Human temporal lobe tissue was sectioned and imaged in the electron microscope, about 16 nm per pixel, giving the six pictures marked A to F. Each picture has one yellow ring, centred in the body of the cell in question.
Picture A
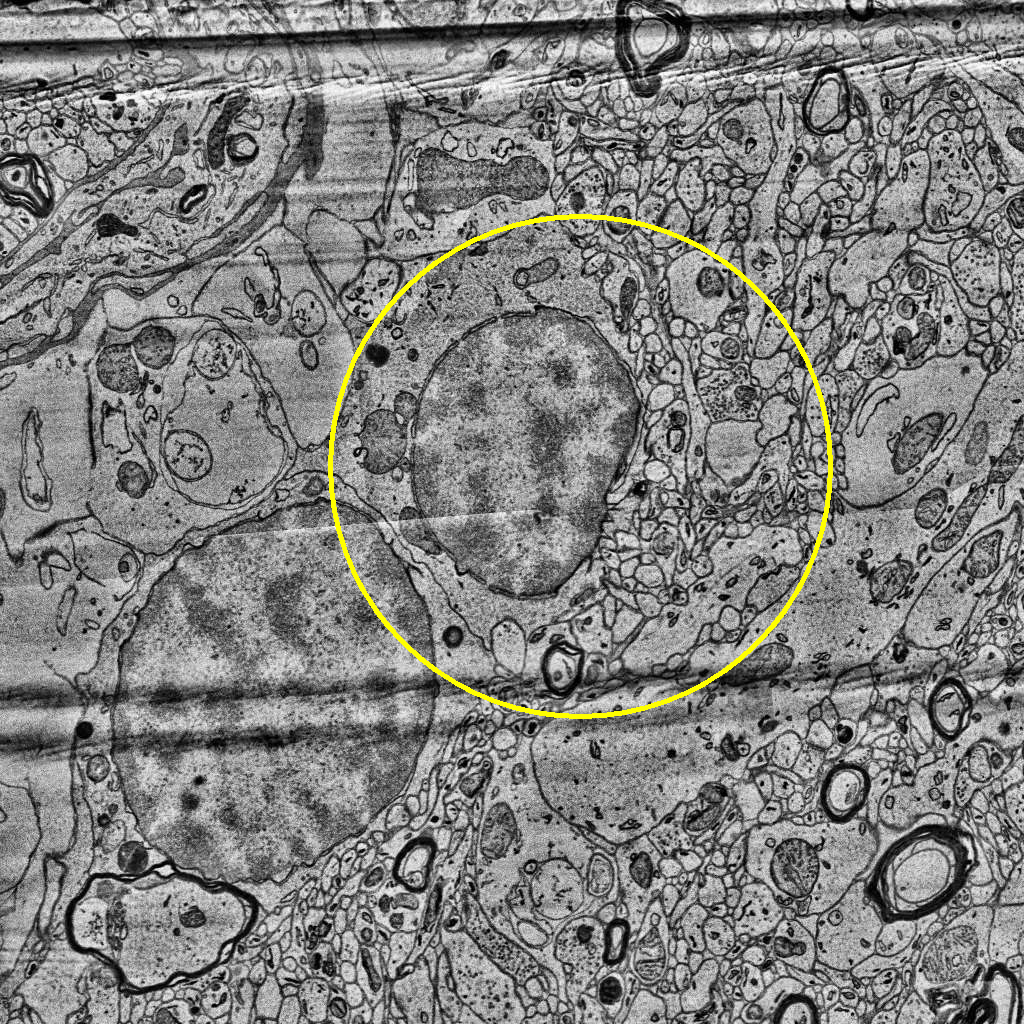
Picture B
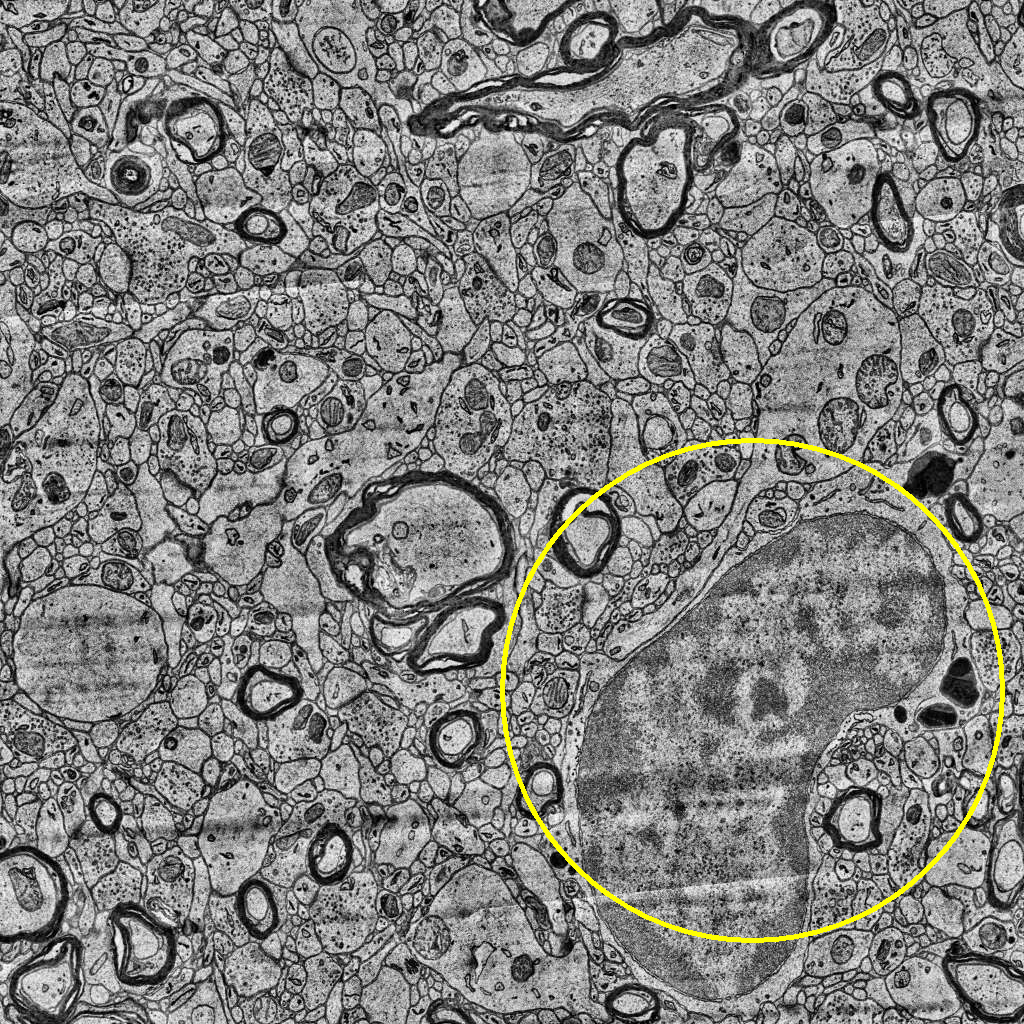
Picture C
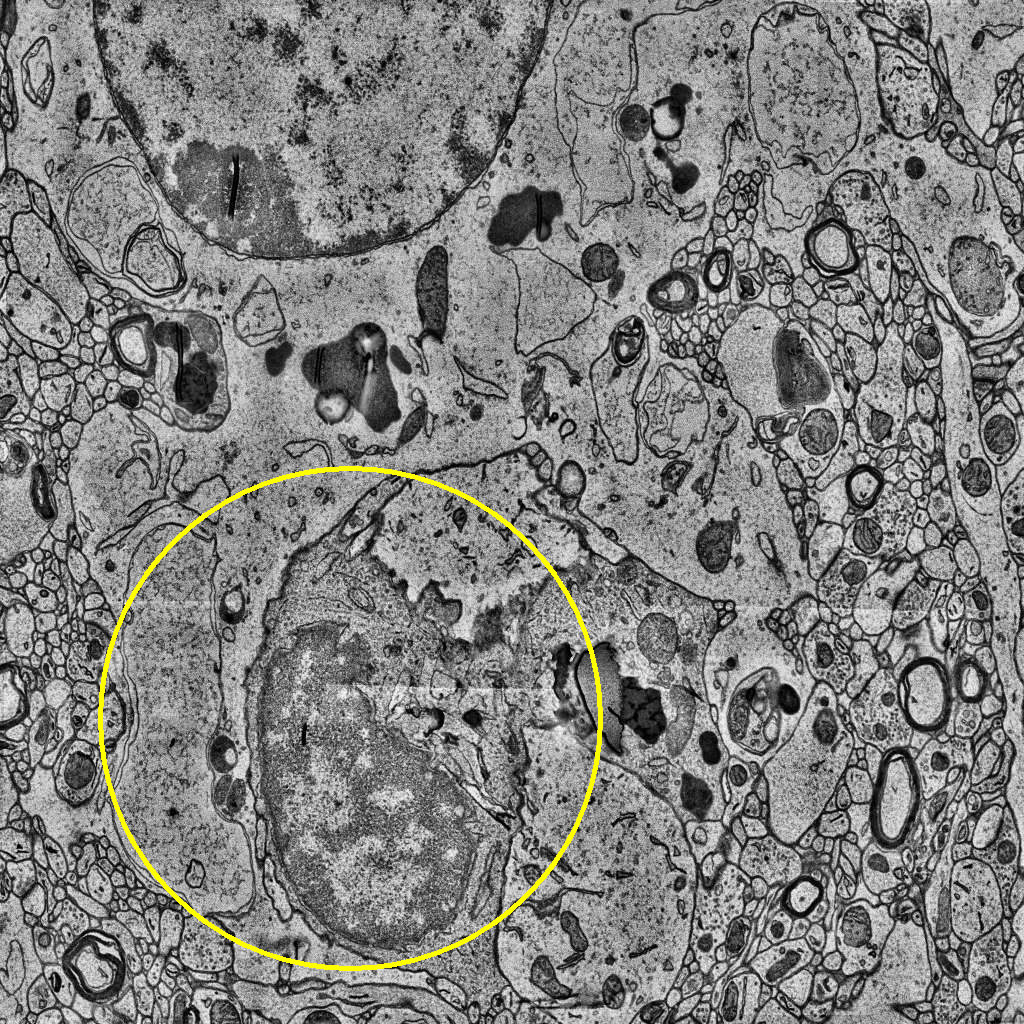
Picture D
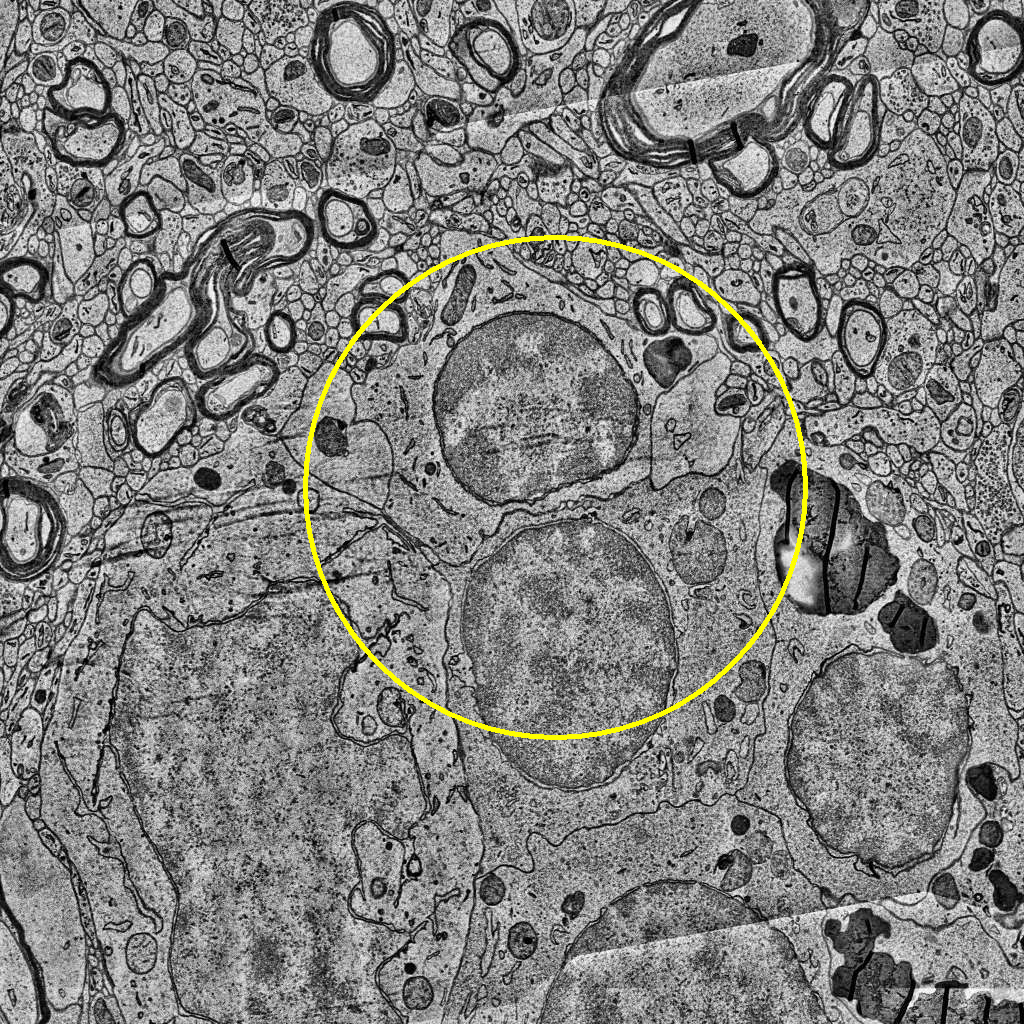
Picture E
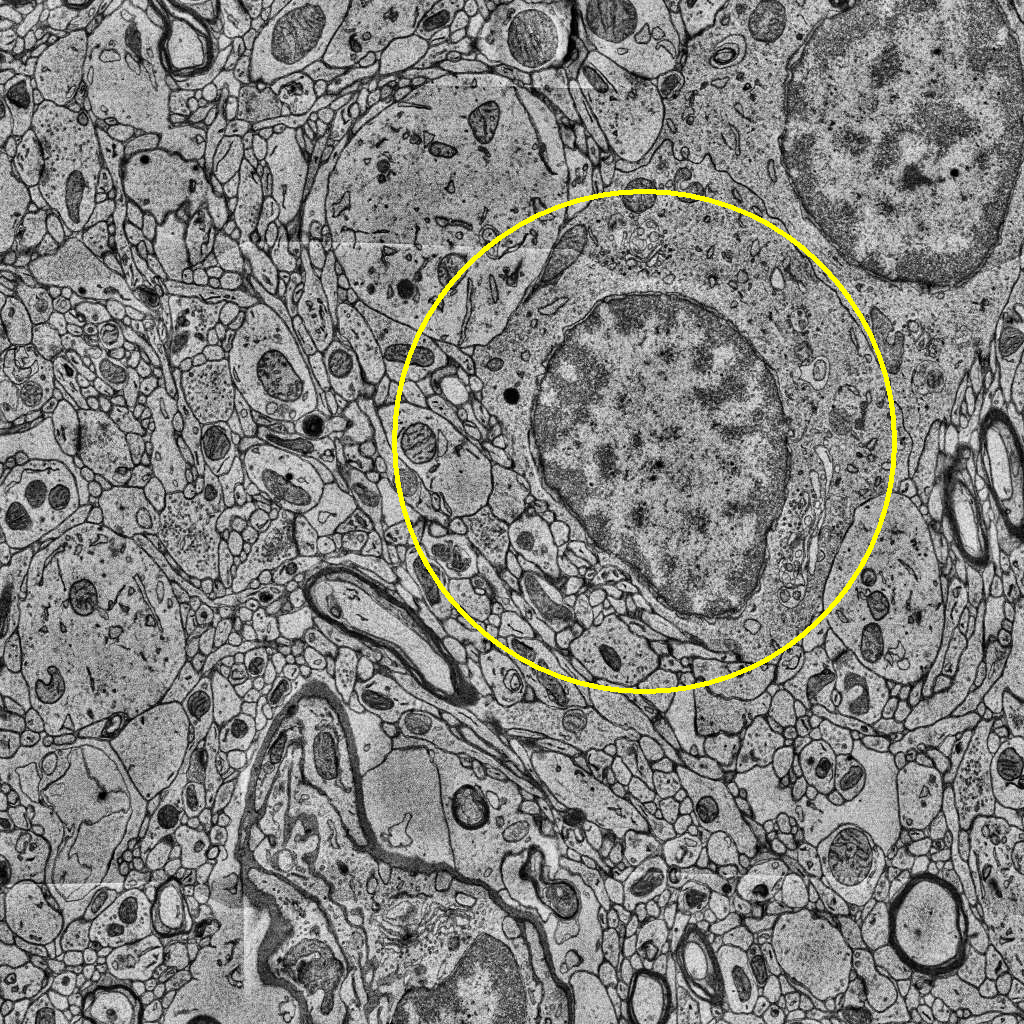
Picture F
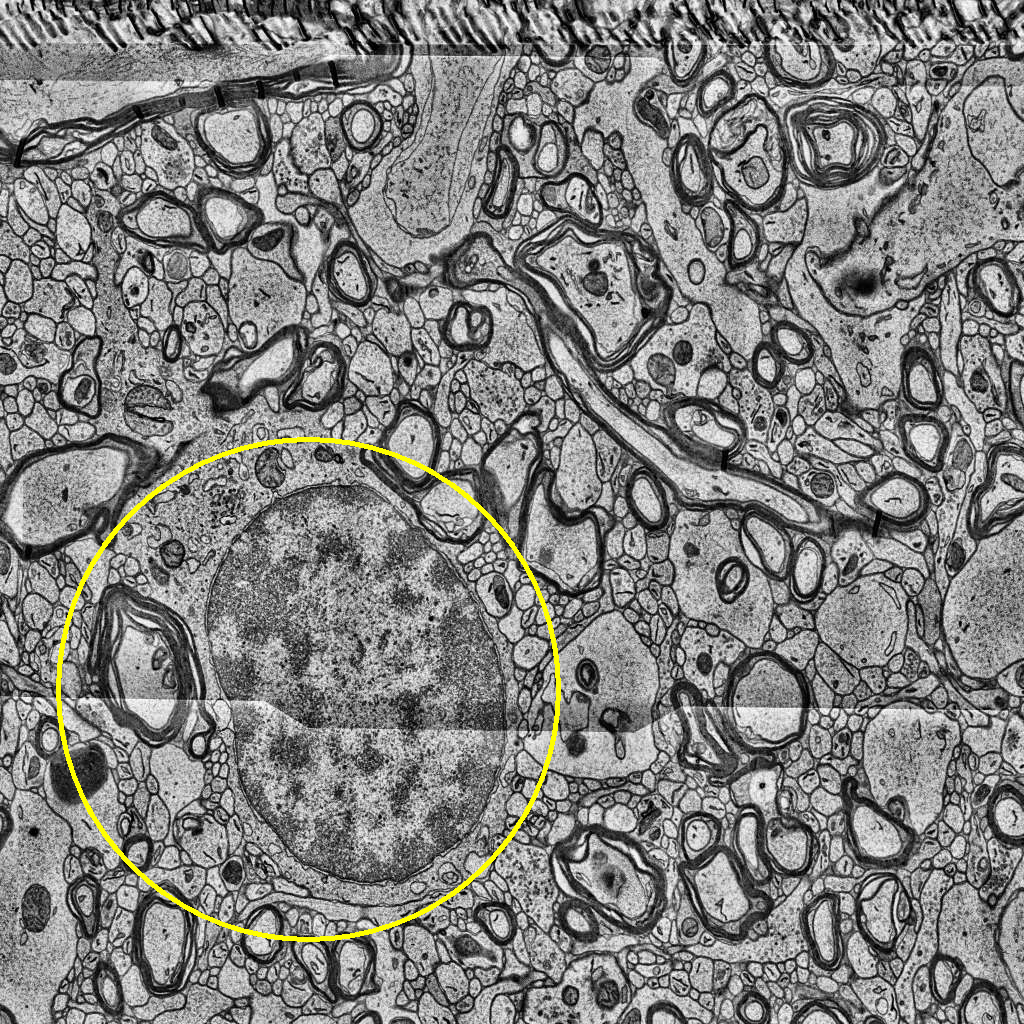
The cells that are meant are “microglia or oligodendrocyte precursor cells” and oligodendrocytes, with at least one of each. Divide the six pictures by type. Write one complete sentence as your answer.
Pictures B and D show “microglia or oligodendrocyte precursor cells”, and pictures A, C, E and F show oligodendrocytes.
